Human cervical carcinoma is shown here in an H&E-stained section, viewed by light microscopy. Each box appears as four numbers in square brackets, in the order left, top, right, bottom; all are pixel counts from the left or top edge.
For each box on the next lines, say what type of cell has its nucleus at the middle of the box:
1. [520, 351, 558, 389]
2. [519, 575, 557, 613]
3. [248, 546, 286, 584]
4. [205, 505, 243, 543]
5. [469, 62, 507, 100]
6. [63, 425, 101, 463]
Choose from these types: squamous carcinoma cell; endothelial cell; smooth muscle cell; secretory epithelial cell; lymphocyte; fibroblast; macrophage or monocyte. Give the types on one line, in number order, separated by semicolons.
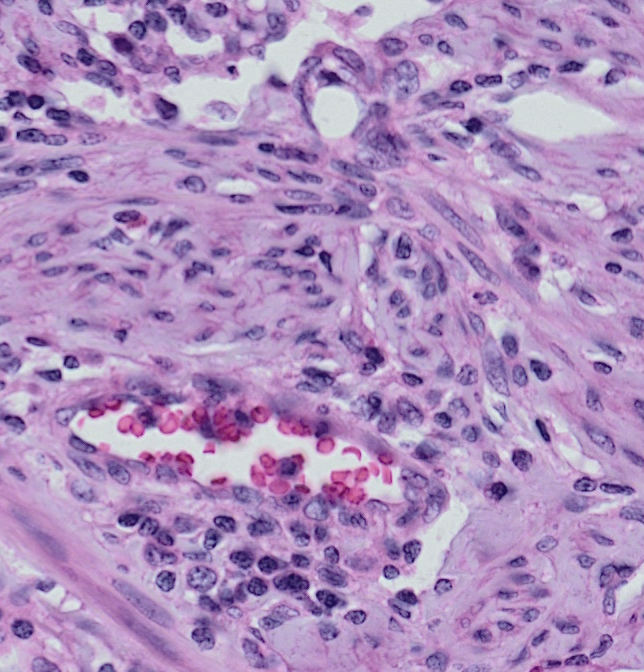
lymphocyte; smooth muscle cell; lymphocyte; lymphocyte; lymphocyte; endothelial cell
